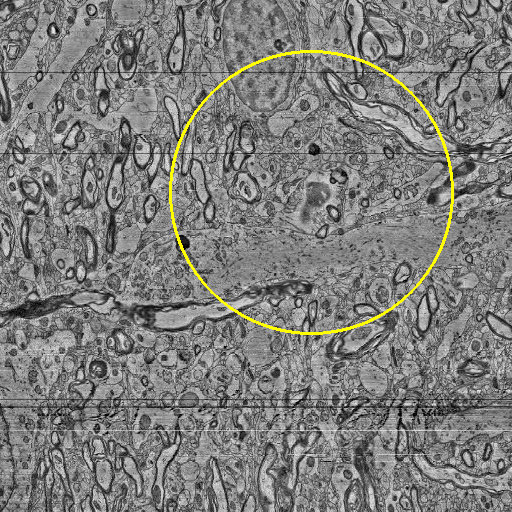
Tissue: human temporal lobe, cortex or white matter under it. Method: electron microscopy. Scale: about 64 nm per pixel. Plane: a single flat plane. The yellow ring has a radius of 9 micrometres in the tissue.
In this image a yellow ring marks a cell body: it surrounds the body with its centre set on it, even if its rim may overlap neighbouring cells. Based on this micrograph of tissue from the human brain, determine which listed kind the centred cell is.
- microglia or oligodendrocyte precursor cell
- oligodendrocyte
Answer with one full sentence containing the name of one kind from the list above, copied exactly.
It is a microglial cell or oligodendrocyte precursor cell whose body the yellow ring encloses at its centre.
